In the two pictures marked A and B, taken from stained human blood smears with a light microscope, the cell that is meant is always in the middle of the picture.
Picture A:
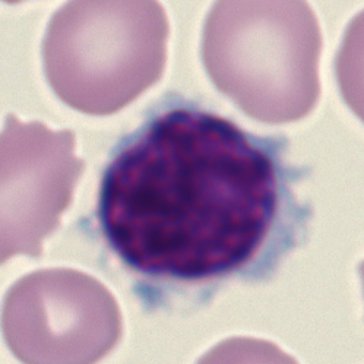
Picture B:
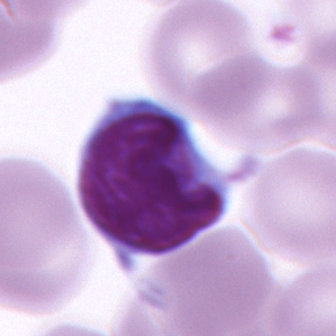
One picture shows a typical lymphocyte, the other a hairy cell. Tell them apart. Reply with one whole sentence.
The cell in picture A is a hairy cell, and the one in picture B is a typical lymphocyte.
